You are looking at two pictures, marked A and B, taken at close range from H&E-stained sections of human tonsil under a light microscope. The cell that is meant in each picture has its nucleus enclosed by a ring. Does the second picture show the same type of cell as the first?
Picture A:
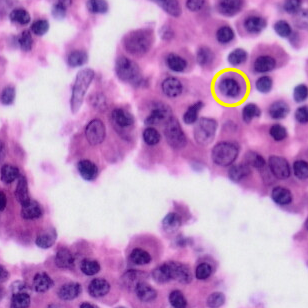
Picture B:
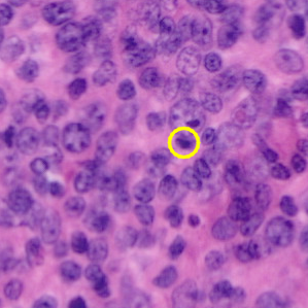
no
